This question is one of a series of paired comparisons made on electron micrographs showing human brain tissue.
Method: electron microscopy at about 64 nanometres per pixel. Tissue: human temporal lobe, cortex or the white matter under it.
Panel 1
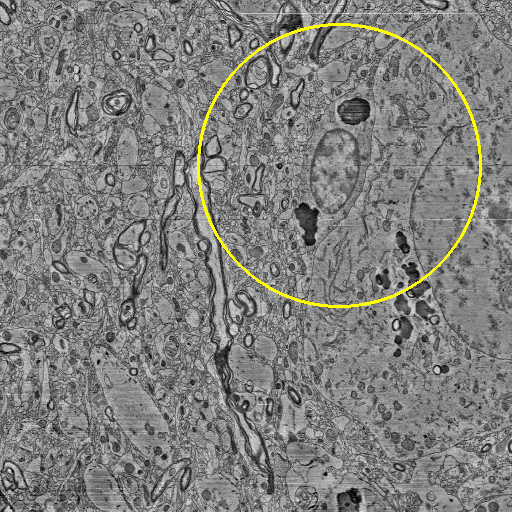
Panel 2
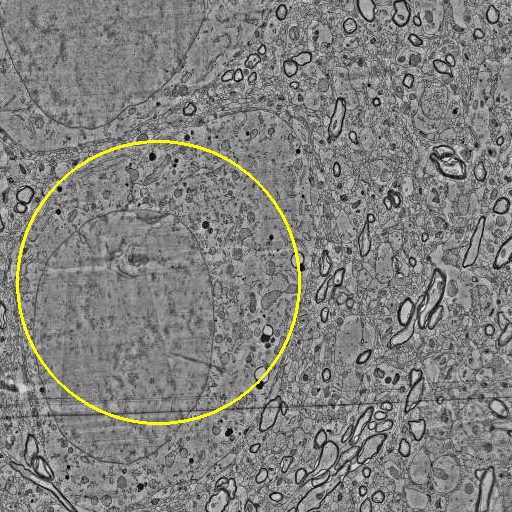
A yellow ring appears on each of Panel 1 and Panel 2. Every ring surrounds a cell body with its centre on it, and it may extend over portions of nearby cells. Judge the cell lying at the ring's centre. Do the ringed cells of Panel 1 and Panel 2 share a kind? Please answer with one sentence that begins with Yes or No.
No, the ring-centre cell in Panel 1 and the one in Panel 2 are of two kinds.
